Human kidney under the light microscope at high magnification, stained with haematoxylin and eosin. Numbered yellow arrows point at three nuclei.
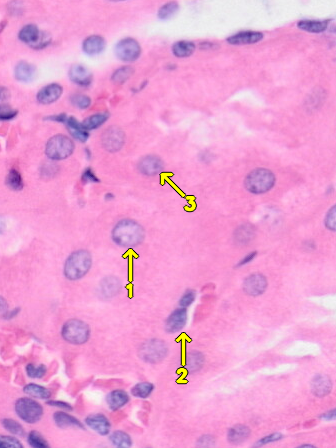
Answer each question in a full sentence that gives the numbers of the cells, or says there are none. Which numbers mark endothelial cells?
The nucleus labelled 2 alone belongs to an endothelial cell; the other marked nuclei do not.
